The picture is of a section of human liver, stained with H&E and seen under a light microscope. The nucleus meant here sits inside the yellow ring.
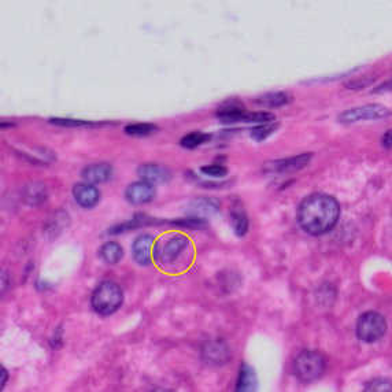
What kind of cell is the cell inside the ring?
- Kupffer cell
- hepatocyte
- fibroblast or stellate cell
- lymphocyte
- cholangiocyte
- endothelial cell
cholangiocyte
